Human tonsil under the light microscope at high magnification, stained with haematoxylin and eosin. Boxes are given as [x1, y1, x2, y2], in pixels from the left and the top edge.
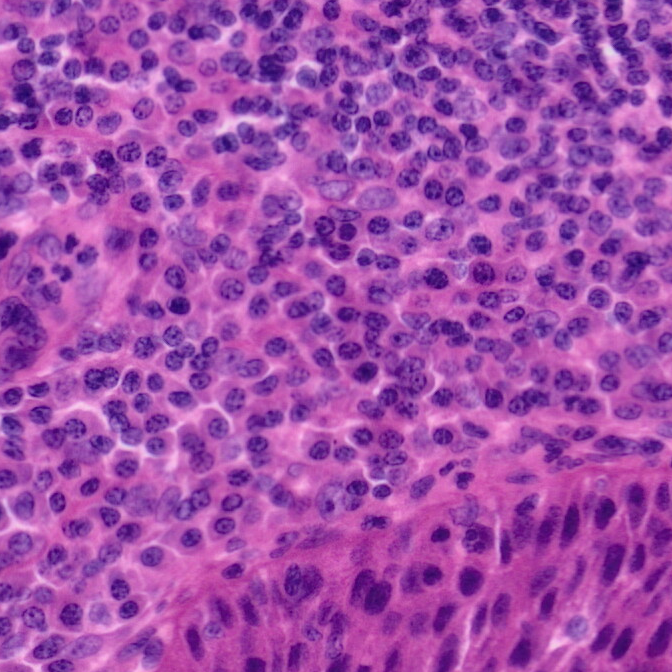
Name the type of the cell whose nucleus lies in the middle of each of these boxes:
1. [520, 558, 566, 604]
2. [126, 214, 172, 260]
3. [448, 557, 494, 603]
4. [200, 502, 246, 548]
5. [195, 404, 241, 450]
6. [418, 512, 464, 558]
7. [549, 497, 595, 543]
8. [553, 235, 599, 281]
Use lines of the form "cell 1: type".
cell 1: squamous epithelial cell
cell 2: plasma cell
cell 3: squamous epithelial cell
cell 4: plasma cell
cell 5: plasma cell
cell 6: squamous epithelial cell
cell 7: squamous epithelial cell
cell 8: plasma cell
